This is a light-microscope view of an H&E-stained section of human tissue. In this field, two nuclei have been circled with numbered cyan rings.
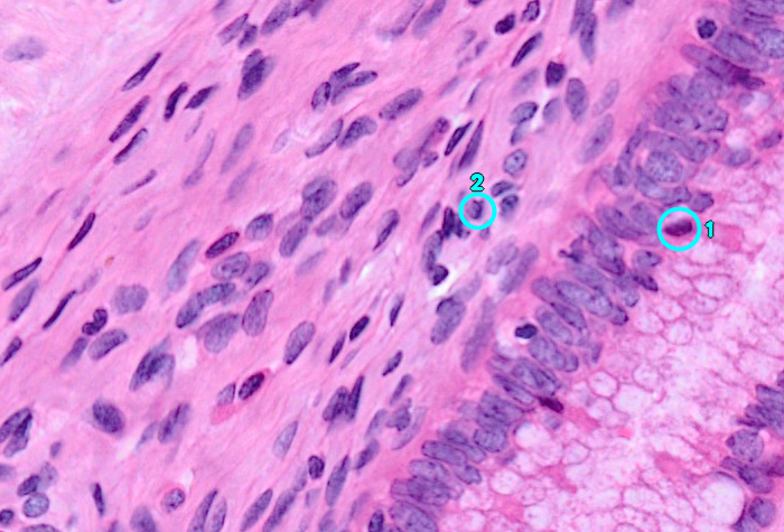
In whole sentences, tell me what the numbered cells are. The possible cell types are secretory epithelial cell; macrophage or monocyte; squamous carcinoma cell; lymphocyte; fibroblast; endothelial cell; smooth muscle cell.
Cell 1 is a secretory epithelial cell and cell 2 is a fibroblast.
